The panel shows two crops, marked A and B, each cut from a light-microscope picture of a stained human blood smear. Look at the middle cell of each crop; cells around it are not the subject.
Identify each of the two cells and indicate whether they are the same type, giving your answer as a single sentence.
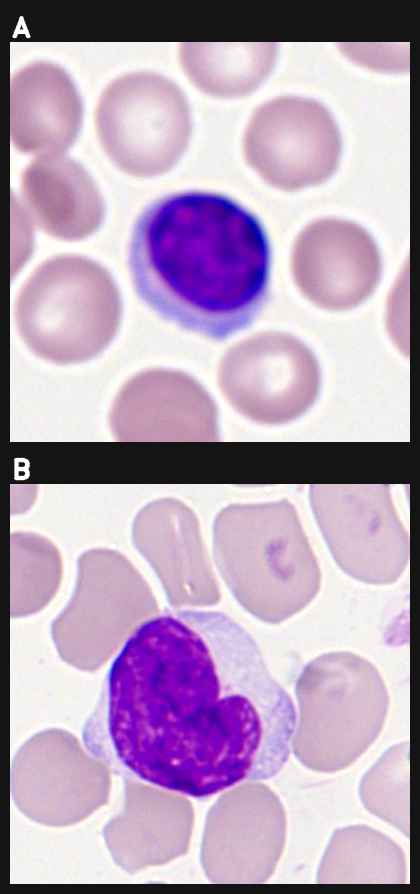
Yes, the cells at the centre of both crops are lymphocytes.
